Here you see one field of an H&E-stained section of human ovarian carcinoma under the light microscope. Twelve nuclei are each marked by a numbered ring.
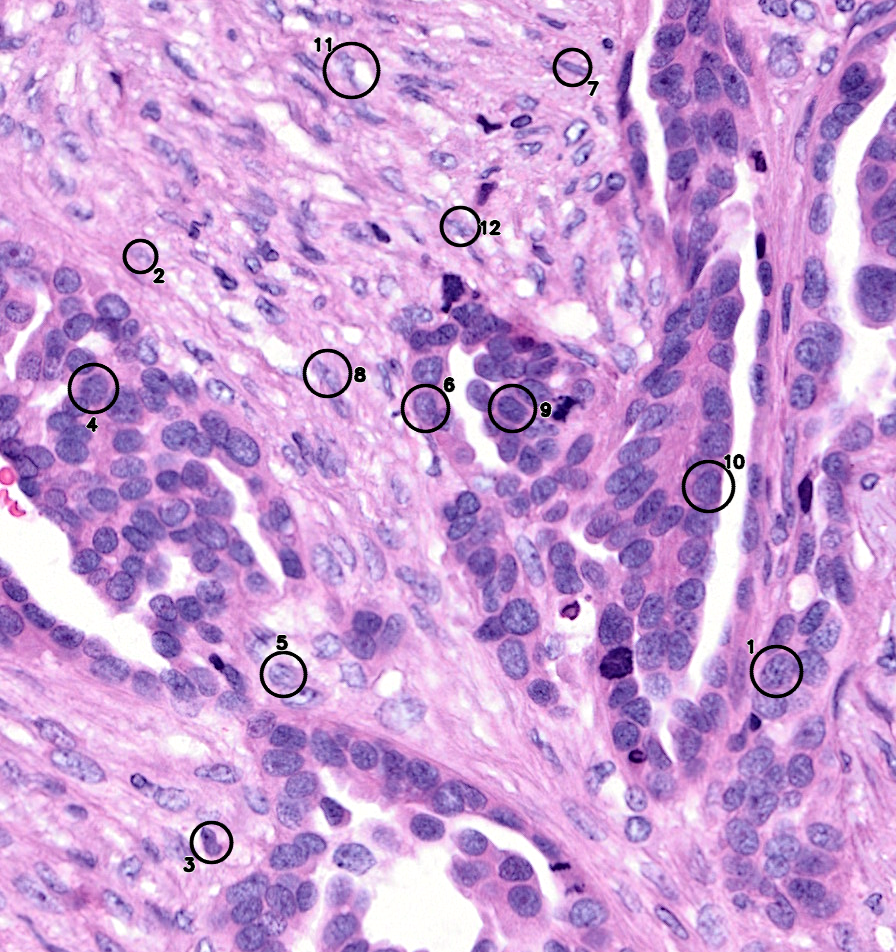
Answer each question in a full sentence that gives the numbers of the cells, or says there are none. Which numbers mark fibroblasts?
Regarding the numbered cells 2, 5, 7, 8, 11 and 12, these are fibroblasts.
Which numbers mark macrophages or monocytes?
Only the cell numbered 3 is a macrophage or monocyte, and the others are something else.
